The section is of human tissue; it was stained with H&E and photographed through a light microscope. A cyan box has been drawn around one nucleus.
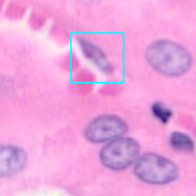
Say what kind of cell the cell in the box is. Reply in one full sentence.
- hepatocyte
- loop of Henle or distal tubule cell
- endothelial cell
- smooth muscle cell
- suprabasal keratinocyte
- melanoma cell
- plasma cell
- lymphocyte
It is an endothelial cell that the cell in the box represents.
